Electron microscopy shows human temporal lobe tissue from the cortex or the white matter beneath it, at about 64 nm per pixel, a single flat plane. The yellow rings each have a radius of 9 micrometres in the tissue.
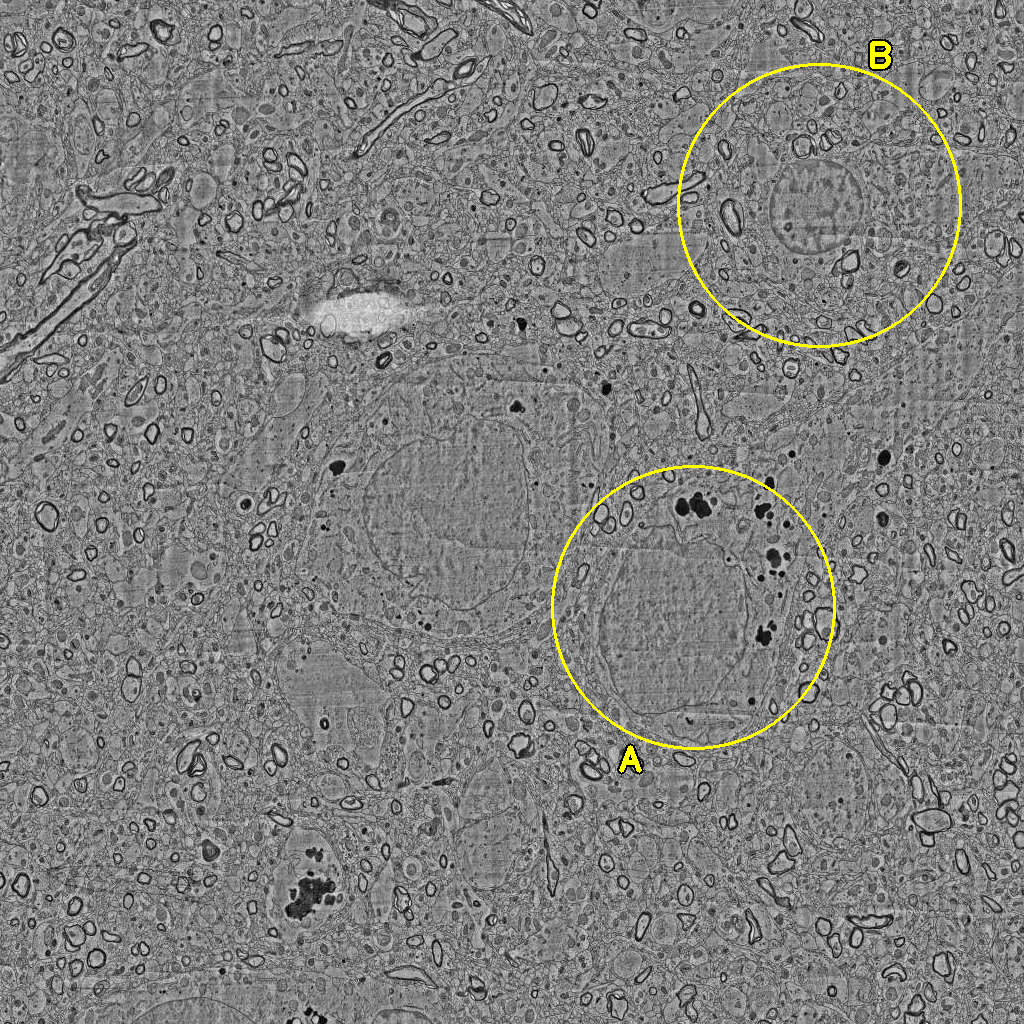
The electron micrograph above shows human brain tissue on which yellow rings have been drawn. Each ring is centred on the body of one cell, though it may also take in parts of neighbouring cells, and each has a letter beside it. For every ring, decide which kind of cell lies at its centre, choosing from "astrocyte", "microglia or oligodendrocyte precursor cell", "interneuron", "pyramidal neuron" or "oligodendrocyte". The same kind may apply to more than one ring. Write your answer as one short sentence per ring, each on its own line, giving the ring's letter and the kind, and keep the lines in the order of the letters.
Ring A is centred on a pyramidal neuron.
Ring B is centred on an oligodendrocyte.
